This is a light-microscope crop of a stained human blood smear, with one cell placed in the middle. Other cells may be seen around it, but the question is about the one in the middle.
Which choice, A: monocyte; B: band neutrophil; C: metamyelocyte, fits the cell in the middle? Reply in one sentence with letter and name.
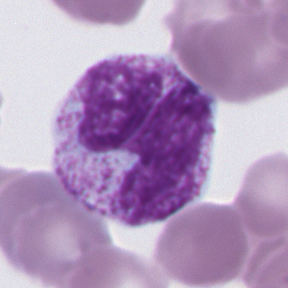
Identified correctly by option B, the cell in the middle is a band neutrophil.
